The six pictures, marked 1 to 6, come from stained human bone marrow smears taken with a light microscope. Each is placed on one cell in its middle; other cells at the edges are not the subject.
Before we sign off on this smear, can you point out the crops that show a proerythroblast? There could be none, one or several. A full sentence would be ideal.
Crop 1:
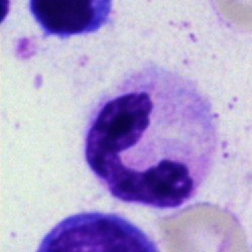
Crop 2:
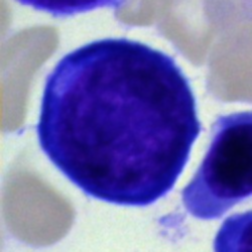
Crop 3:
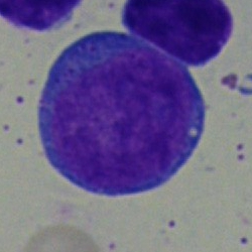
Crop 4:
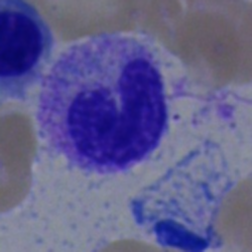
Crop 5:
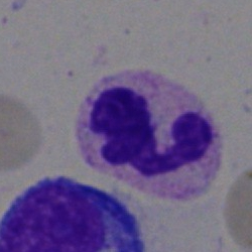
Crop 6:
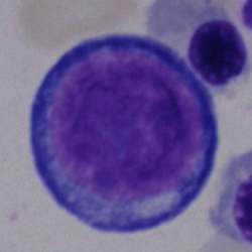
Crops 2, 3 and 6 hold proerythroblasts in the centre of the field.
